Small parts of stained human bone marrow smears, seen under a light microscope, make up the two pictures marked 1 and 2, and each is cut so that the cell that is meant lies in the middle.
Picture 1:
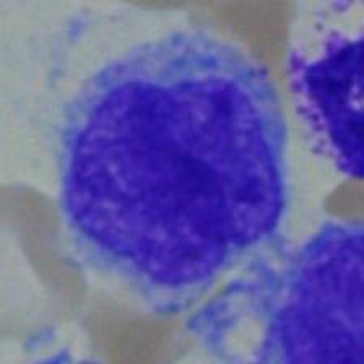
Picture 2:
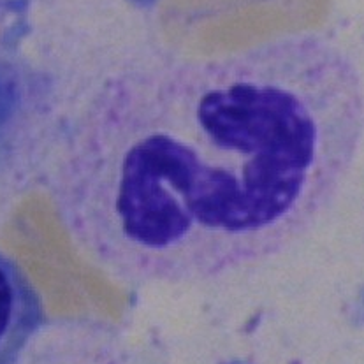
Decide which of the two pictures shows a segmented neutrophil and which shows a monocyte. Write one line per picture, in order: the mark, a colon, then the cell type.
1: monocyte
2: segmented neutrophil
